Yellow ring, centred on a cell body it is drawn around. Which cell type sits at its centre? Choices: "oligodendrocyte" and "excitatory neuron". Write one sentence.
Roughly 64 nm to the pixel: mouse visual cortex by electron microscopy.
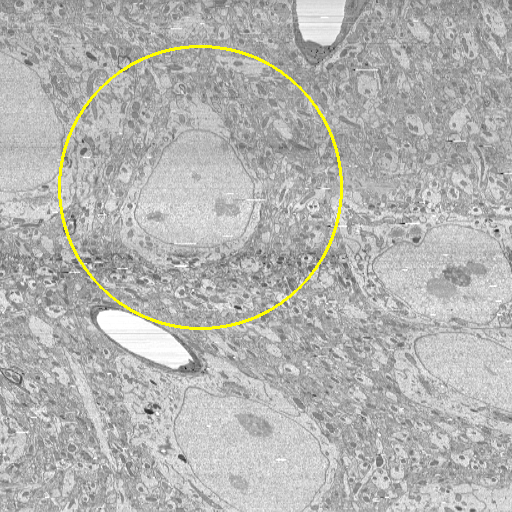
At the centre of the ring sits an excitatory neuron.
